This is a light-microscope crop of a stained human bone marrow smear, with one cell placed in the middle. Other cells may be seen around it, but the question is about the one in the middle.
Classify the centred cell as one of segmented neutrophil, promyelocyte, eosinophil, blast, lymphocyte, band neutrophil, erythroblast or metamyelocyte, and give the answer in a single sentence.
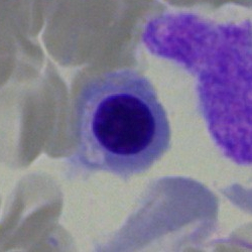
On this slide crop, the central cell is an erythroblast.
